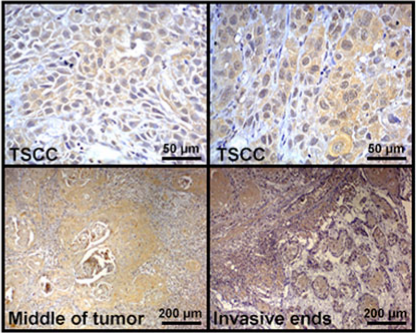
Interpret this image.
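The upper two views show tumor cells of a tongue carcinoma at high power, large polygonal cells packed together with big oval blue nuclei. Pale to golden brown colour lies in the cytoplasm around the nuclei, while the nuclei stay blue. Between groups of tumor cells run thin strands of pale stroma with slender nuclei.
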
